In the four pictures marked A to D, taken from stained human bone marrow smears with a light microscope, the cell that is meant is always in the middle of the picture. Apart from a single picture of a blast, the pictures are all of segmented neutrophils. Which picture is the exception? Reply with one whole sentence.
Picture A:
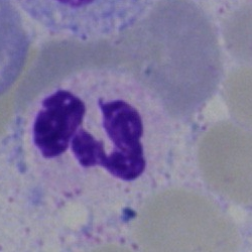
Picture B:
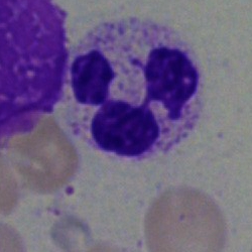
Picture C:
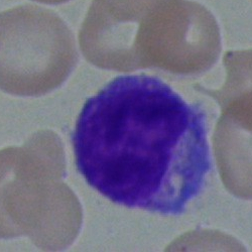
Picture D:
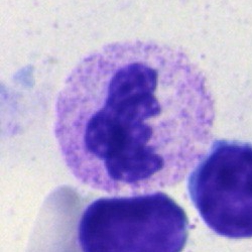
Picture C shows the blast.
